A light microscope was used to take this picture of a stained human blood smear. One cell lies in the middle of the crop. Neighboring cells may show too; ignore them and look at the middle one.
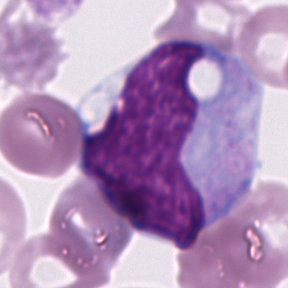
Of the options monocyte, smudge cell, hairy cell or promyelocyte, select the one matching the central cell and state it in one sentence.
The cell shown in the center of this light-microscope crop is a monocyte.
